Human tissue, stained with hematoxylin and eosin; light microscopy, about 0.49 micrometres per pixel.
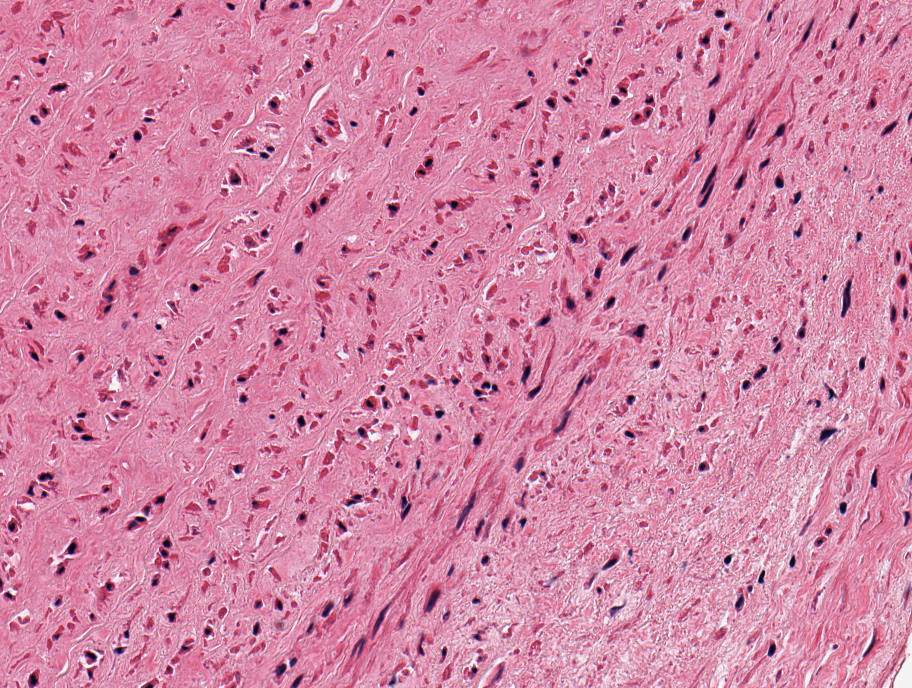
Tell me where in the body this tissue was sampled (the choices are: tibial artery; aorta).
aorta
